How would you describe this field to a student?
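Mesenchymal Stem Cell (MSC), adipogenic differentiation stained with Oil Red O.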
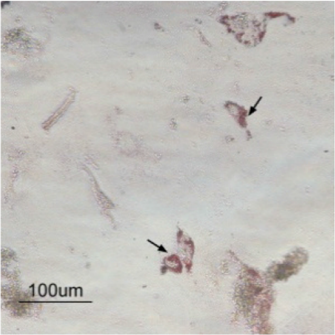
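These are sparse cells in a pale field, some of which hold lipid droplets that stain red. The red droplets gather in small clusters within the cell bodies, while other cells and debris around them stay unstained or only faintly tinted.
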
